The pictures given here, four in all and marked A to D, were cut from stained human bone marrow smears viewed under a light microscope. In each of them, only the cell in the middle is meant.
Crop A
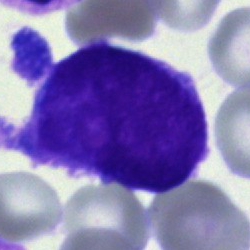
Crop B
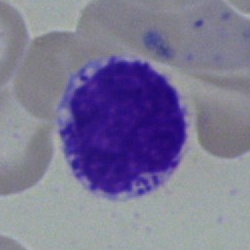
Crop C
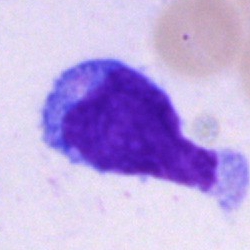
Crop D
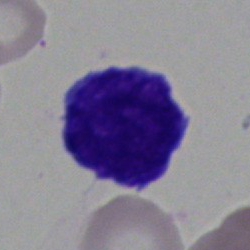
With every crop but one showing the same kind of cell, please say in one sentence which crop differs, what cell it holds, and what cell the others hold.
Crop B presents a myelocyte, while blasts are presented by all other crops.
